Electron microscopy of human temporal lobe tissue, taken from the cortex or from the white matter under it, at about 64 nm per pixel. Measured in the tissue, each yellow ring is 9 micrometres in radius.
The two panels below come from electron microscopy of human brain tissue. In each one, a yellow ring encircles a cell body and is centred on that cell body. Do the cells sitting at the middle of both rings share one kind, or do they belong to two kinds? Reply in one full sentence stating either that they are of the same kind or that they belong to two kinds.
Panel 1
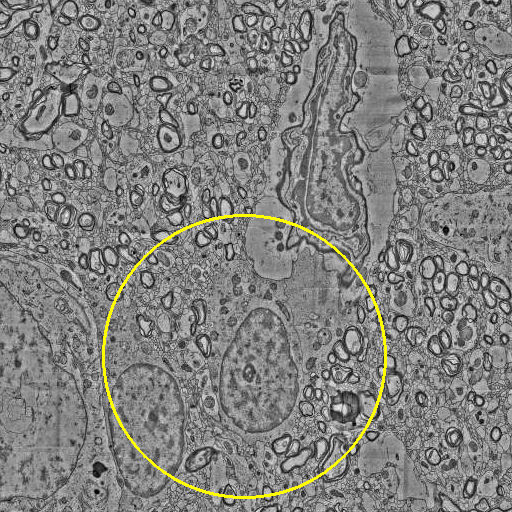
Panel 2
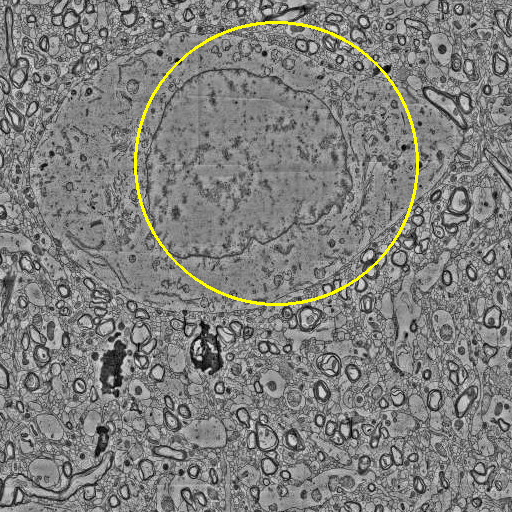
The cells at the centres of the two rings belong to two kinds.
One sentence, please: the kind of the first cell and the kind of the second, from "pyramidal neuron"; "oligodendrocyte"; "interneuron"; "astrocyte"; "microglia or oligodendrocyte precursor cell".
The ring in the first picture surrounds an oligodendrocyte, and the ring in the second surrounds a pyramidal neuron.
